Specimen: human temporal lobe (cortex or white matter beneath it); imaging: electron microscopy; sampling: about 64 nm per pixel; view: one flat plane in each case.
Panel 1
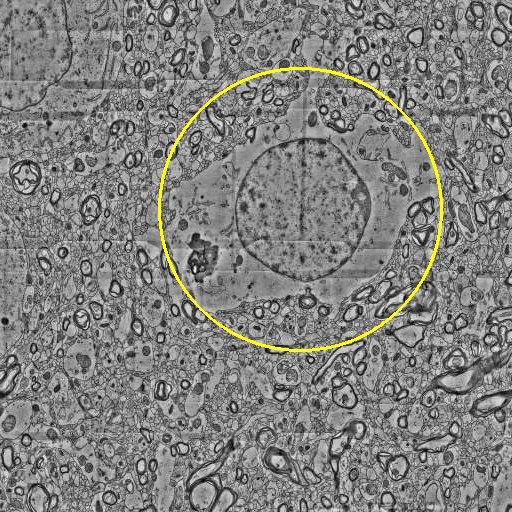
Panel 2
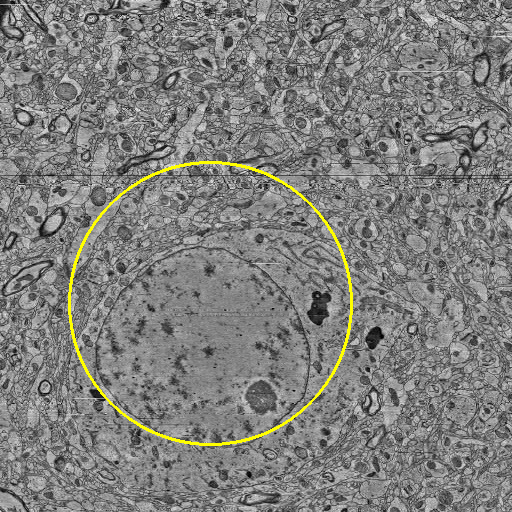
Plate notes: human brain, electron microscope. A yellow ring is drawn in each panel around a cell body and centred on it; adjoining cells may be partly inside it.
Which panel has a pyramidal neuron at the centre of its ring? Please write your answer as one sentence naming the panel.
The ring in Panel 2 is centred on such a cell.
